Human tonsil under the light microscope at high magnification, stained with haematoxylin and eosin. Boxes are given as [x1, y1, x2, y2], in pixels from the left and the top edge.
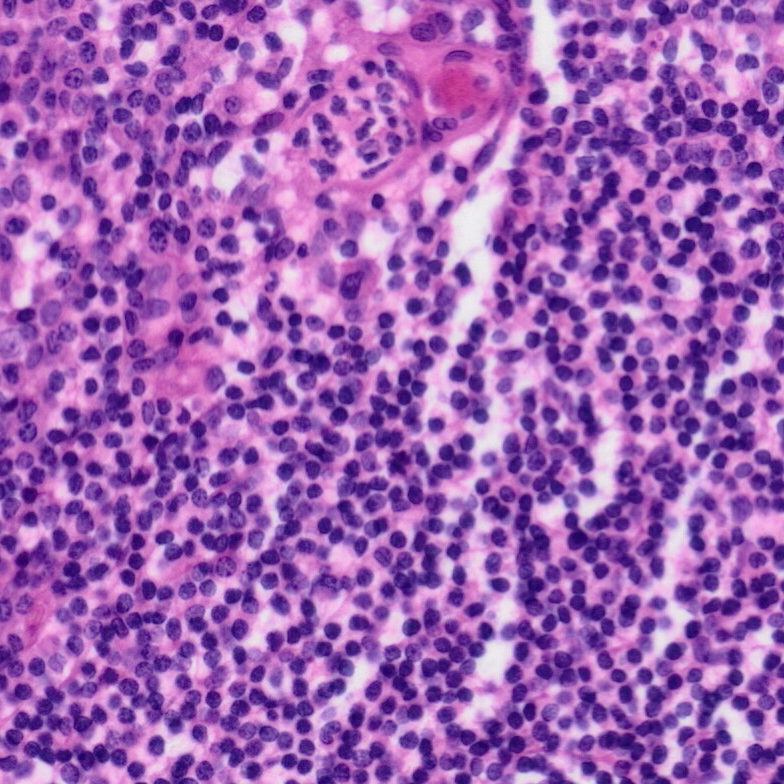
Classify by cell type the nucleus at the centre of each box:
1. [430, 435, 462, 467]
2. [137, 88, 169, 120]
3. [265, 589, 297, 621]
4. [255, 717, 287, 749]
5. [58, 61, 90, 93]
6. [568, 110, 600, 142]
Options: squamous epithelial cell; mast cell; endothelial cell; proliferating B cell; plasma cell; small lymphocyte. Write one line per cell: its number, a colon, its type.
1: small lymphocyte
2: plasma cell
3: small lymphocyte
4: small lymphocyte
5: plasma cell
6: small lymphocyte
